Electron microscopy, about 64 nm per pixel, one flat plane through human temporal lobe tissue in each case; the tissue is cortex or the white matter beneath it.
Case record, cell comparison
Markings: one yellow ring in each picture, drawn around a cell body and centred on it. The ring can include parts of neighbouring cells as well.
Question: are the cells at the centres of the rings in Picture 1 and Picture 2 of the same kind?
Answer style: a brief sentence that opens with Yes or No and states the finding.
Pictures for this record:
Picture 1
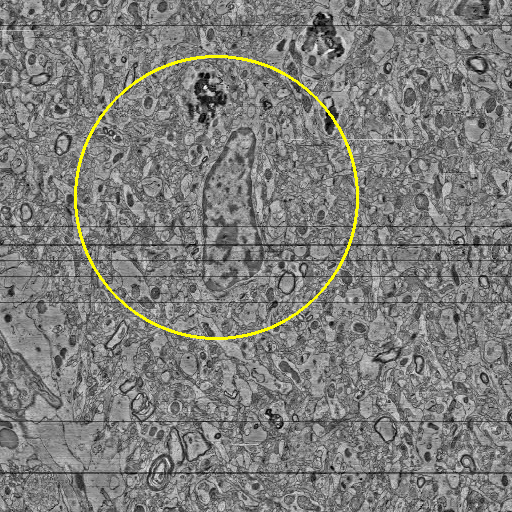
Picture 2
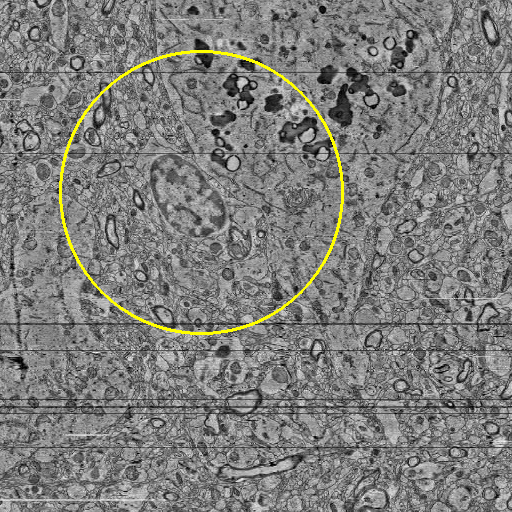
Yes, the cells in Picture 1 and Picture 2 are of the same kind.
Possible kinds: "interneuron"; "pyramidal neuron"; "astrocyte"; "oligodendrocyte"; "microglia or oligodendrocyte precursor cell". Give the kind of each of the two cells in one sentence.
Both the first and the second picture show a microglial cell or oligodendrocyte precursor cell in the ring.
